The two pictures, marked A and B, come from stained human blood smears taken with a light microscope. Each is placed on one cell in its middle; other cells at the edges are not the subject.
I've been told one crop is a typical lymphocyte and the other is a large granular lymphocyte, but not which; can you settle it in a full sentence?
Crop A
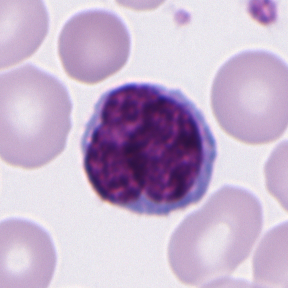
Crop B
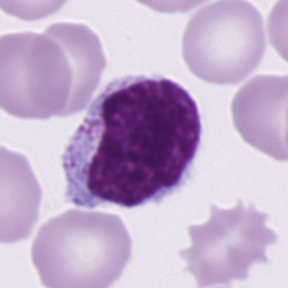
Crop A shows a typical lymphocyte, whereas crop B shows a large granular lymphocyte.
